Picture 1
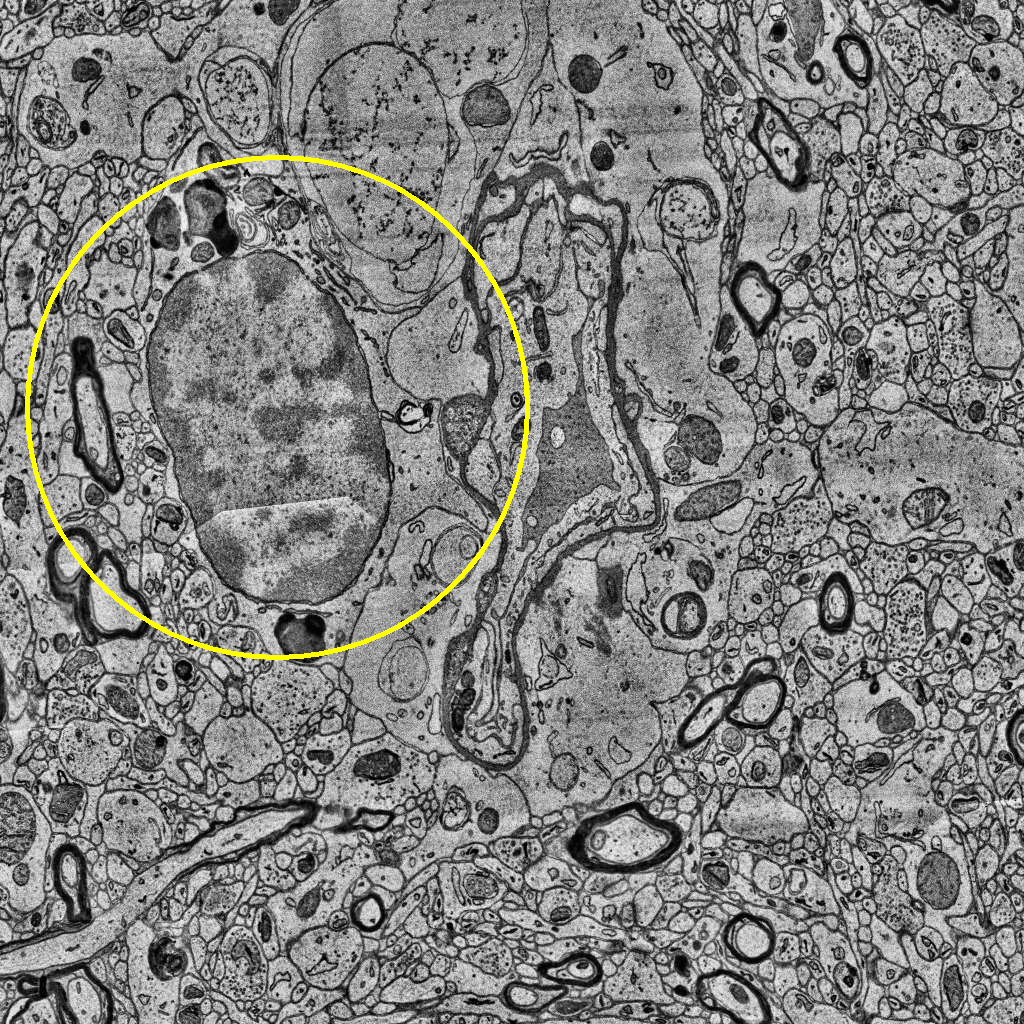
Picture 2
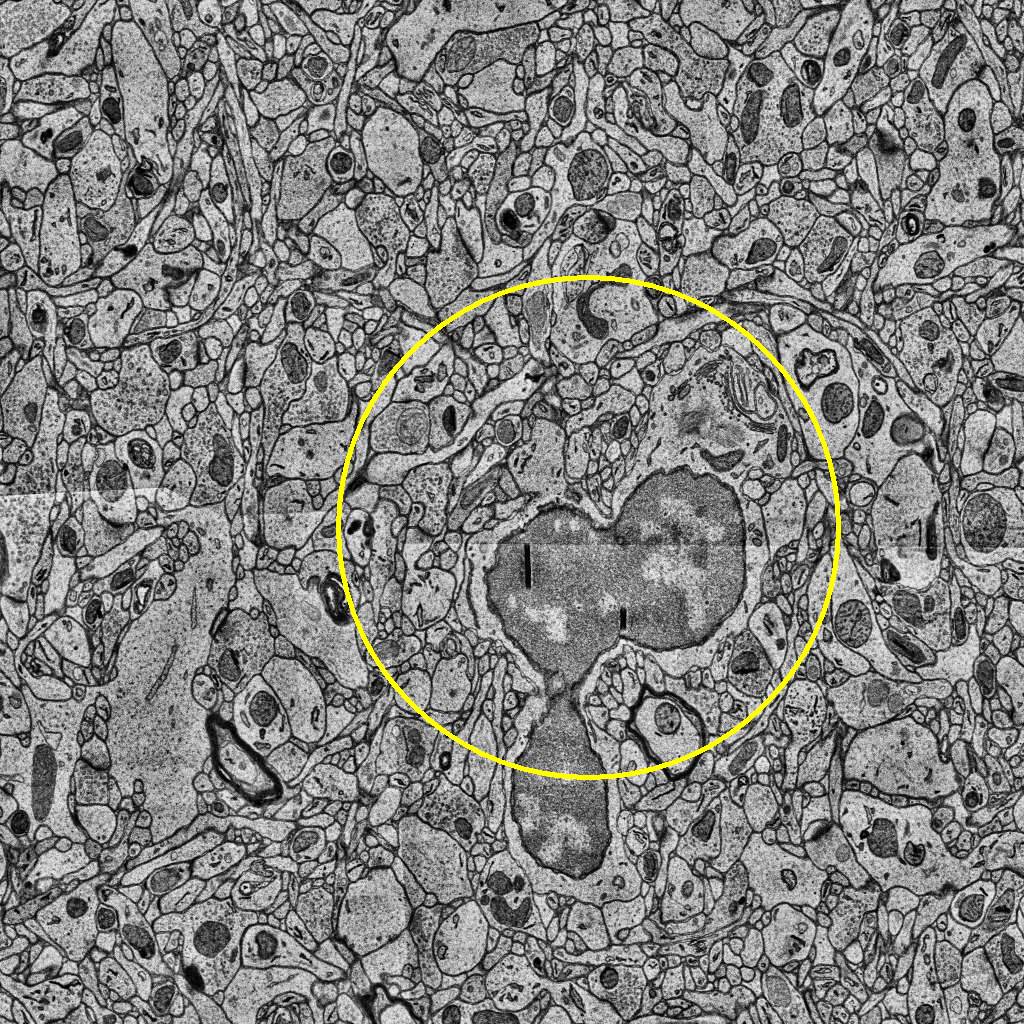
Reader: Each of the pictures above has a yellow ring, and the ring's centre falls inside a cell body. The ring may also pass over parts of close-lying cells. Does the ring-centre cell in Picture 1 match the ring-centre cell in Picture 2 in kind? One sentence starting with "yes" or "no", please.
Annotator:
Yes, Picture 1 and Picture 2 show ring-centre cells of a single kind.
